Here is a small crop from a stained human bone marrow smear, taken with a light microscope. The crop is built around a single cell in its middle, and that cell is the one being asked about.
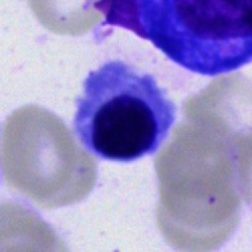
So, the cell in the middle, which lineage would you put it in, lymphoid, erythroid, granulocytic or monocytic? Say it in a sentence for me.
The lineage to which the central cell belongs is the erythroid lineage.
